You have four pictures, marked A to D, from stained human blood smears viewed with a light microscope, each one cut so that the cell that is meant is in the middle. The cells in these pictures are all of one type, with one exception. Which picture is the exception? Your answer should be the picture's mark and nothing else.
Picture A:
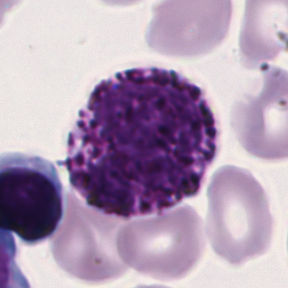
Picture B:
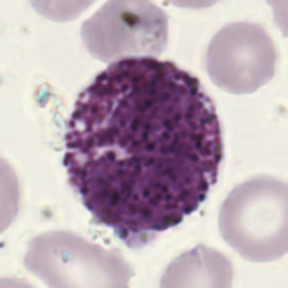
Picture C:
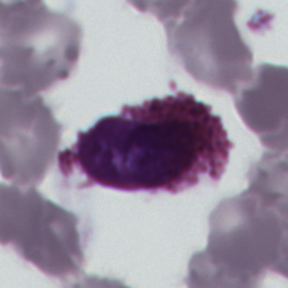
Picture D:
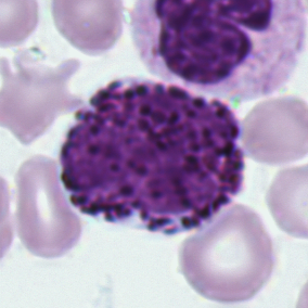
C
